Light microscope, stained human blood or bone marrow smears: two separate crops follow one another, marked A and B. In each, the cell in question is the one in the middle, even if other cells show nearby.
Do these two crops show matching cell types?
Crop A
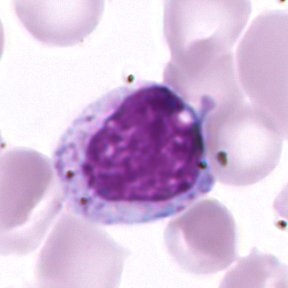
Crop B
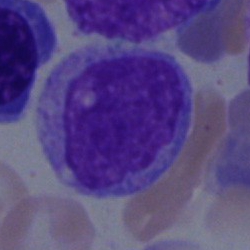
no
